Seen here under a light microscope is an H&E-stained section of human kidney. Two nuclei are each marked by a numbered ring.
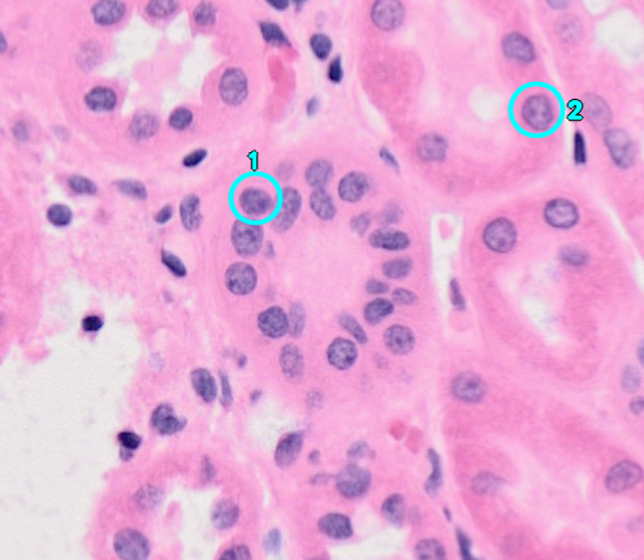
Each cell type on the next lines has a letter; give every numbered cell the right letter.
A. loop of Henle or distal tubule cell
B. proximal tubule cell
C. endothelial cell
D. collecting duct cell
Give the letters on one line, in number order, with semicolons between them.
D; B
